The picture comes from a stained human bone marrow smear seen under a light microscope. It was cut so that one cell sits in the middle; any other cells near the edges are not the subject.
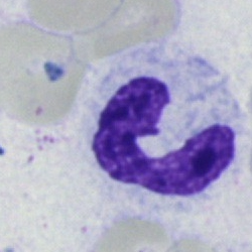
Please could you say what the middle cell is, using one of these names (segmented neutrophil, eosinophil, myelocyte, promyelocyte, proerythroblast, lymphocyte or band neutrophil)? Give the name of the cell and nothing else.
band neutrophil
